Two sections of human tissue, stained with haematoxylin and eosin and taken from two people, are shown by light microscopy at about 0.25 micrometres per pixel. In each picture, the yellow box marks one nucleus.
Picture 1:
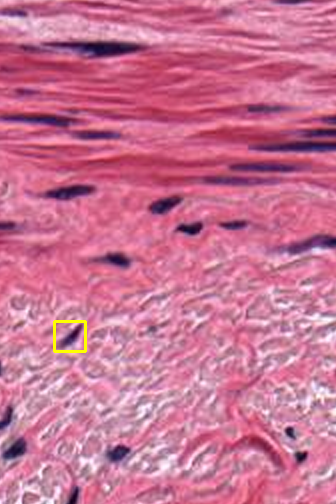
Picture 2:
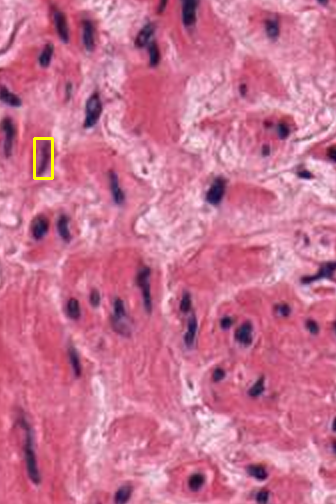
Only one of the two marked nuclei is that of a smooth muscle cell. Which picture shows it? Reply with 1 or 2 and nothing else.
2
